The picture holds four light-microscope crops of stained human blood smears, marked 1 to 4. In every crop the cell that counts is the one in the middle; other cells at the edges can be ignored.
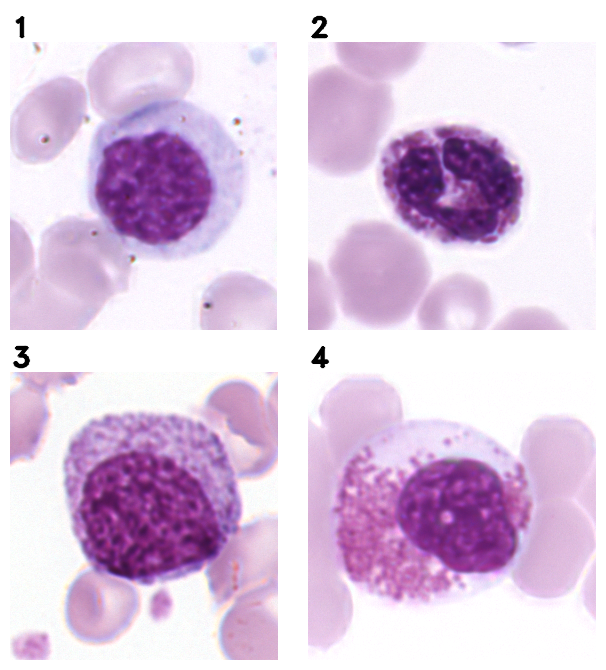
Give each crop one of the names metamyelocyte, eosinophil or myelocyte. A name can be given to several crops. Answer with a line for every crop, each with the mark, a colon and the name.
1: myelocyte
2: eosinophil
3: myelocyte
4: eosinophil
